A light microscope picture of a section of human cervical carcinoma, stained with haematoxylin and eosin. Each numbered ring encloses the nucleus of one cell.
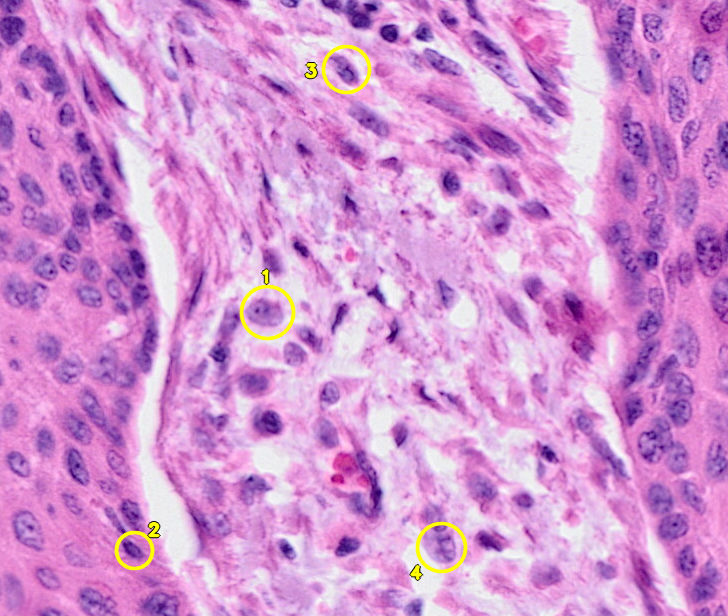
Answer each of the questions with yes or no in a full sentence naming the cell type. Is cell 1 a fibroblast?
Yes, the cell carrying number 1 is a fibroblast.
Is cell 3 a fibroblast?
No, cell 3 is not a fibroblast, but is instead a macrophage or monocyte.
